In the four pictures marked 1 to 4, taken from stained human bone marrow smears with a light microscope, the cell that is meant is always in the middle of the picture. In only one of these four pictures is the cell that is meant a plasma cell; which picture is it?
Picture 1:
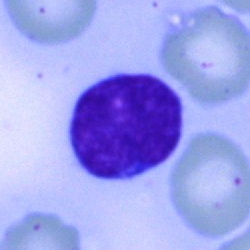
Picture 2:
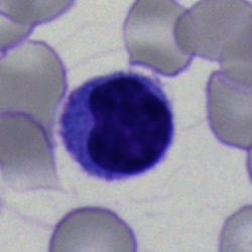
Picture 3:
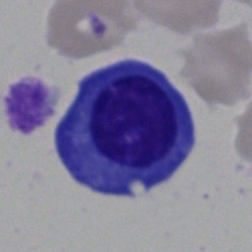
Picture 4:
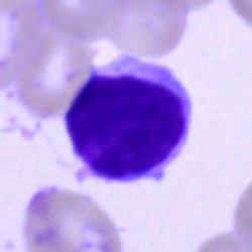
3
